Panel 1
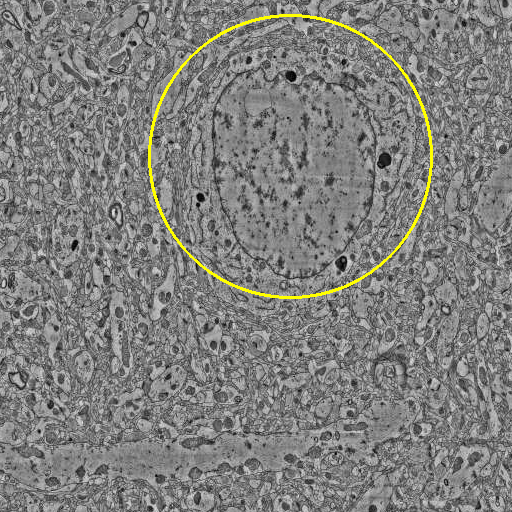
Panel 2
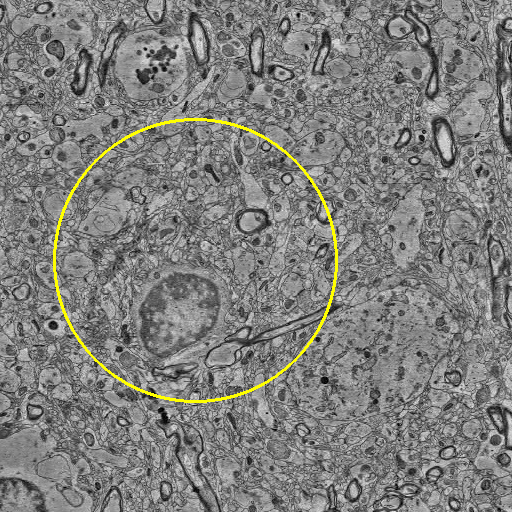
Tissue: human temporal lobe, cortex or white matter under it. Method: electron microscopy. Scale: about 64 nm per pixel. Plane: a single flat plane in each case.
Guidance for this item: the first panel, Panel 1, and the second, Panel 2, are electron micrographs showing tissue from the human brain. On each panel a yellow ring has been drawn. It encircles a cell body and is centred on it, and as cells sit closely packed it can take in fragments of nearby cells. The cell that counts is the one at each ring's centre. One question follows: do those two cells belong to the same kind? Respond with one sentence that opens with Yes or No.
No, the cells at the ring centres in Panel 1 and Panel 2 are of two kinds.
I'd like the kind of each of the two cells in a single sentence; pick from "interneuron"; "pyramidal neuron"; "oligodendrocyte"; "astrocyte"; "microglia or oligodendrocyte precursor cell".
The first ring marks a pyramidal neuron, and the second ring marks an oligodendrocyte.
